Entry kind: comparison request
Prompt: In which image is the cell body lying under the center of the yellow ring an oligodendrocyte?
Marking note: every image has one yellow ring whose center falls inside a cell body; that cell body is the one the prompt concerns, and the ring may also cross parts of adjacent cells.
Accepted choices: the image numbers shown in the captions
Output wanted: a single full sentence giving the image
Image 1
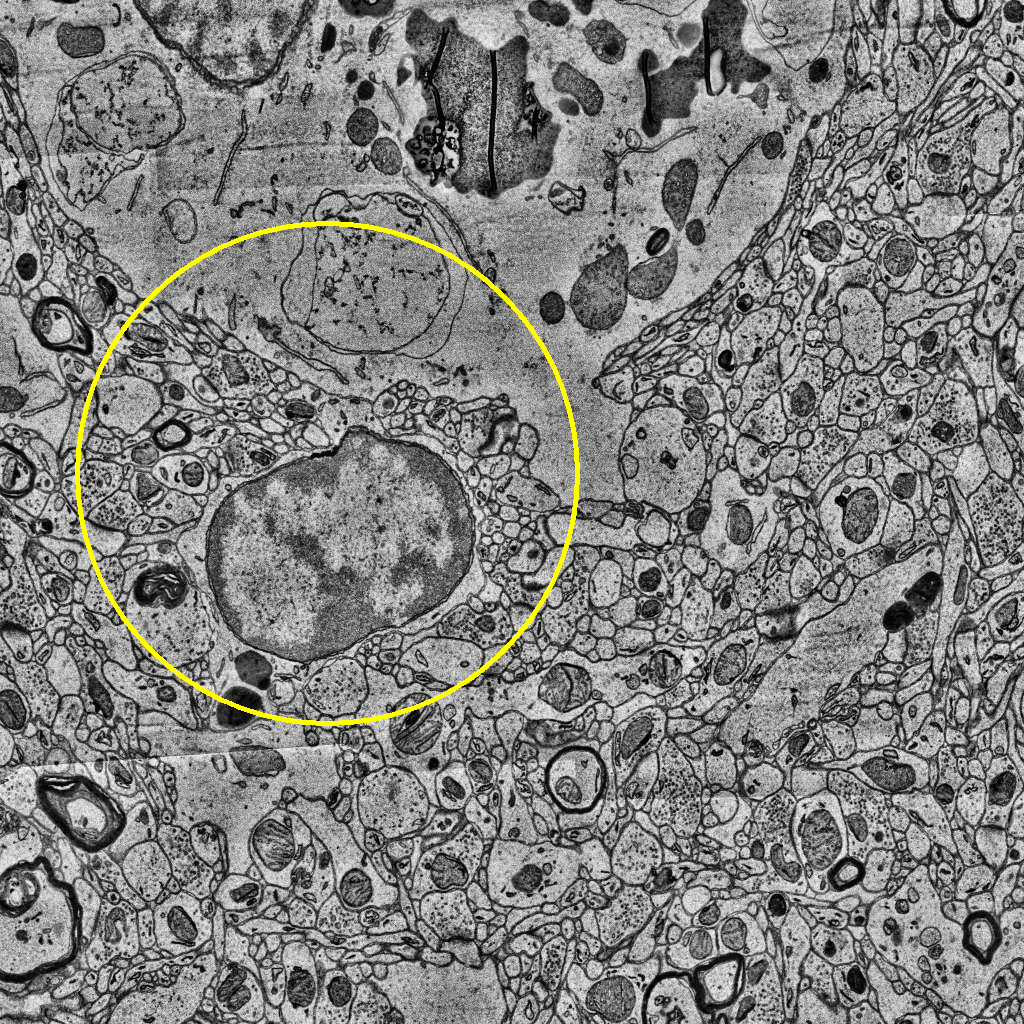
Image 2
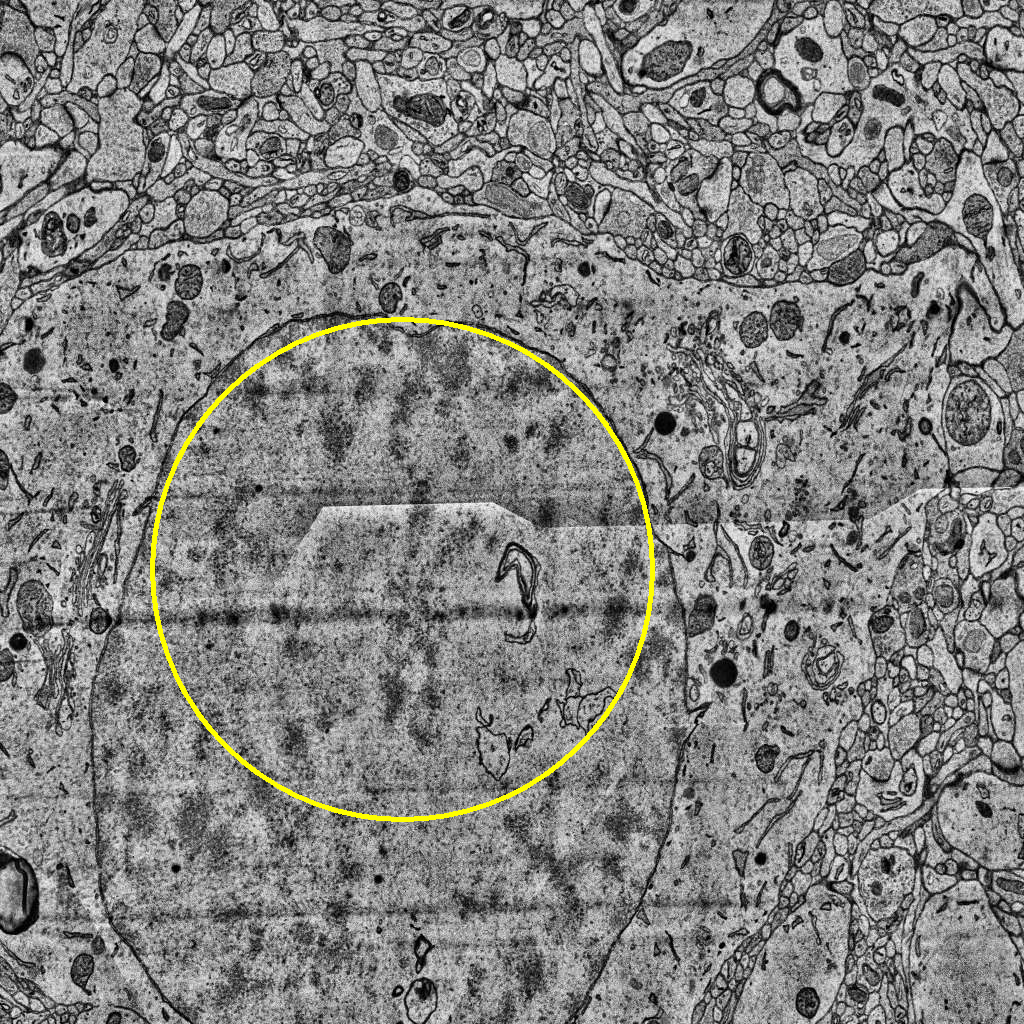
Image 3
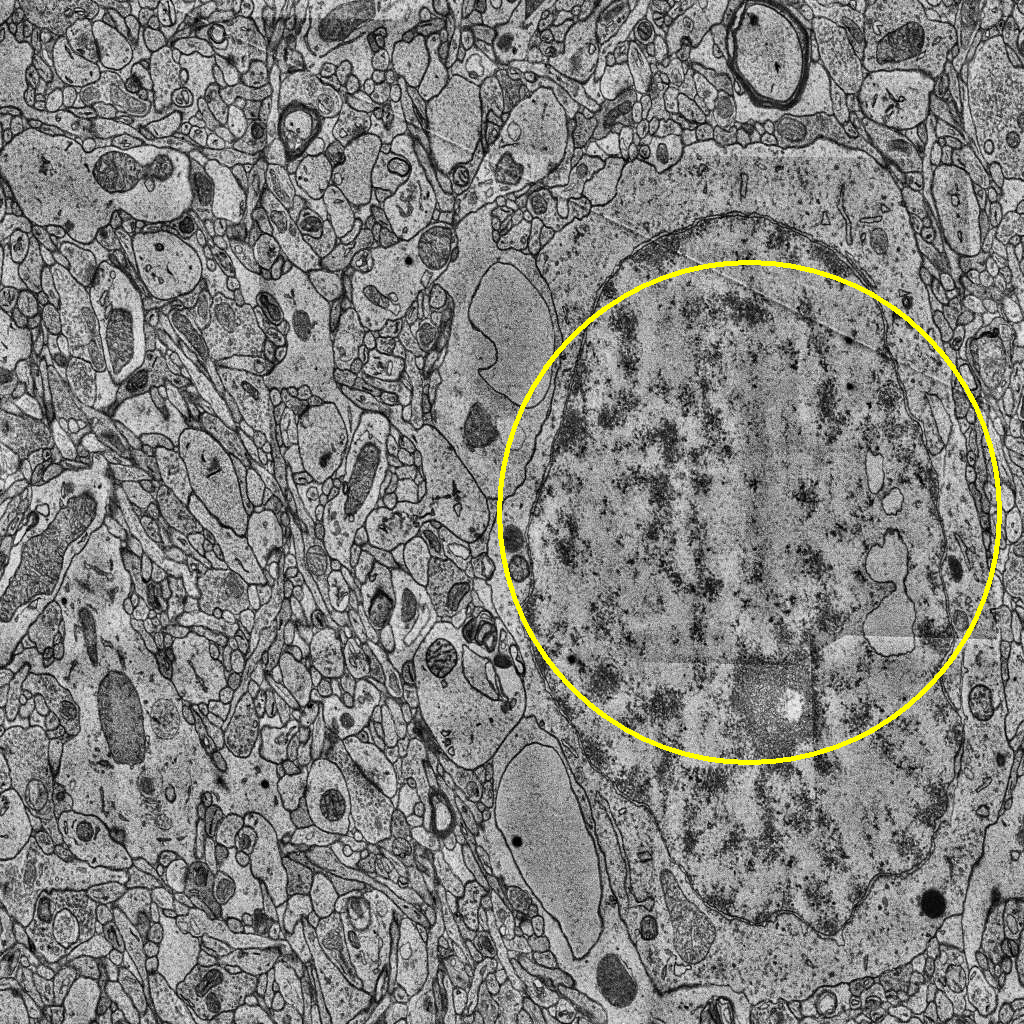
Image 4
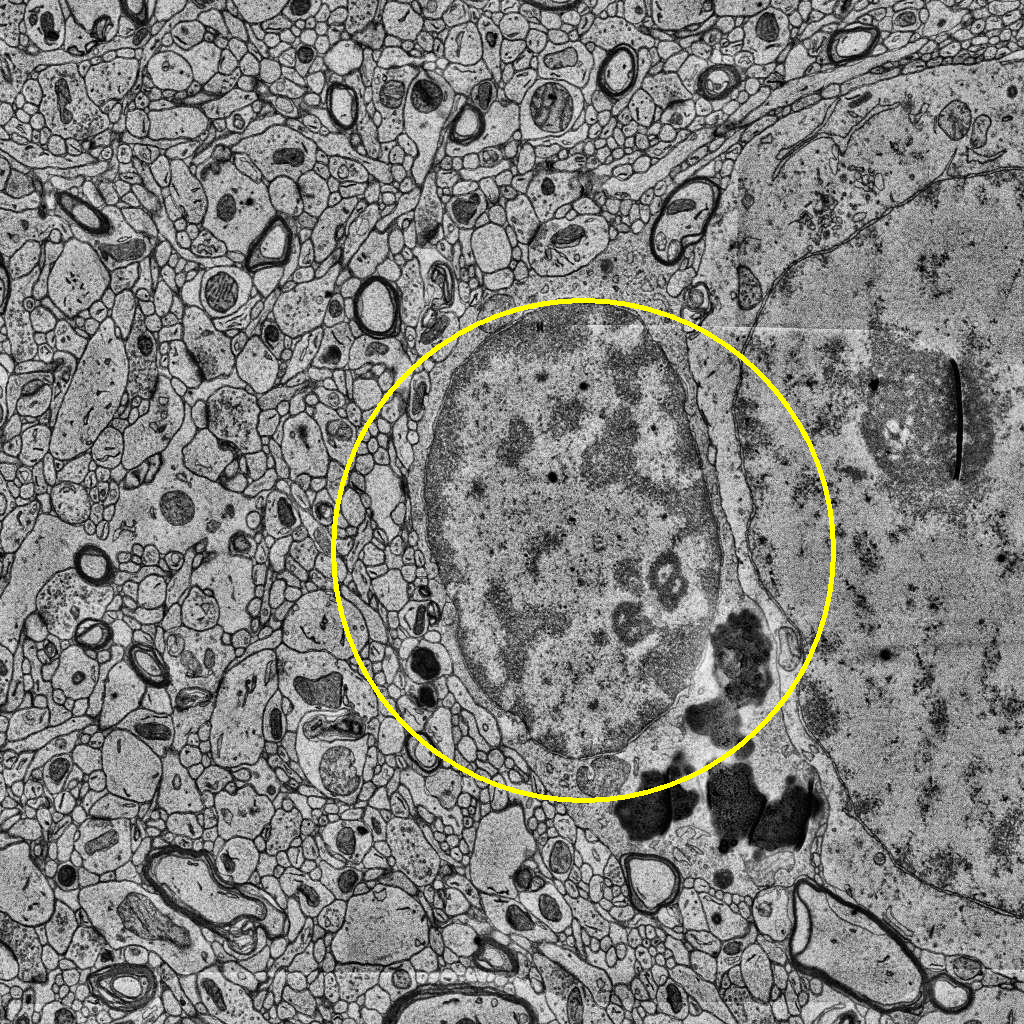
In image 4, the cell holding the center of the yellow ring matches the prompt.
